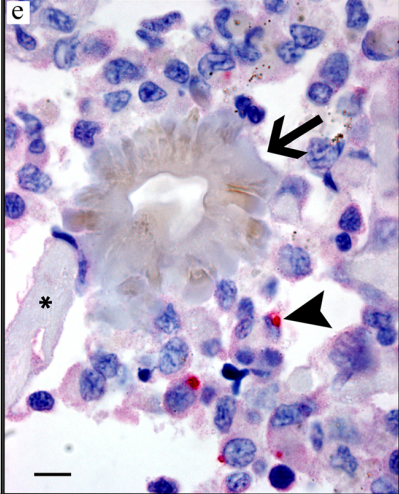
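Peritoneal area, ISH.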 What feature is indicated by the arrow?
Splendore-Hoeppli concrement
